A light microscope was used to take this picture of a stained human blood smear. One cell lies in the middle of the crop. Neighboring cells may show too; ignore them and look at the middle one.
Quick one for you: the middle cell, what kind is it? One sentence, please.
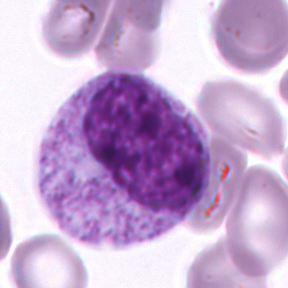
The center cell of this crop is a metamyelocyte.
